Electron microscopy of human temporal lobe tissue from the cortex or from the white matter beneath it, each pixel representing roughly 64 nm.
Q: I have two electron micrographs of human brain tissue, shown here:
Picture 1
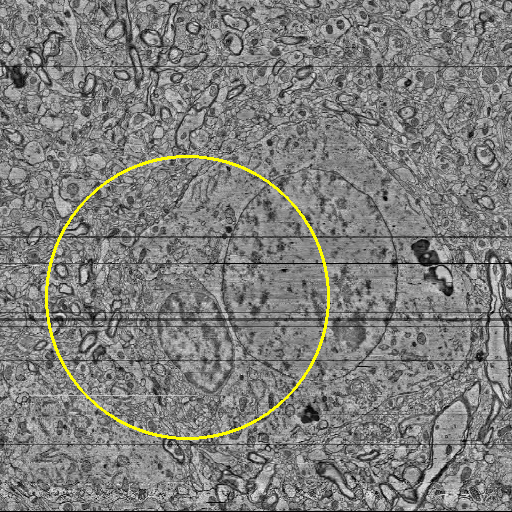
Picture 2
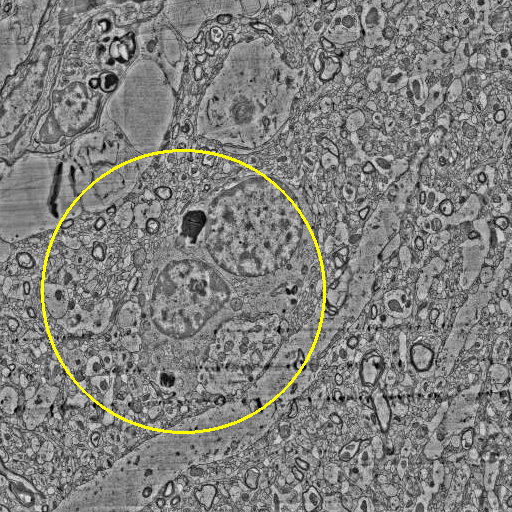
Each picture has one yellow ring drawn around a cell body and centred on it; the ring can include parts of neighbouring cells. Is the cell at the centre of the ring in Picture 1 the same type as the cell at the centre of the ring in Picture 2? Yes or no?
yes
